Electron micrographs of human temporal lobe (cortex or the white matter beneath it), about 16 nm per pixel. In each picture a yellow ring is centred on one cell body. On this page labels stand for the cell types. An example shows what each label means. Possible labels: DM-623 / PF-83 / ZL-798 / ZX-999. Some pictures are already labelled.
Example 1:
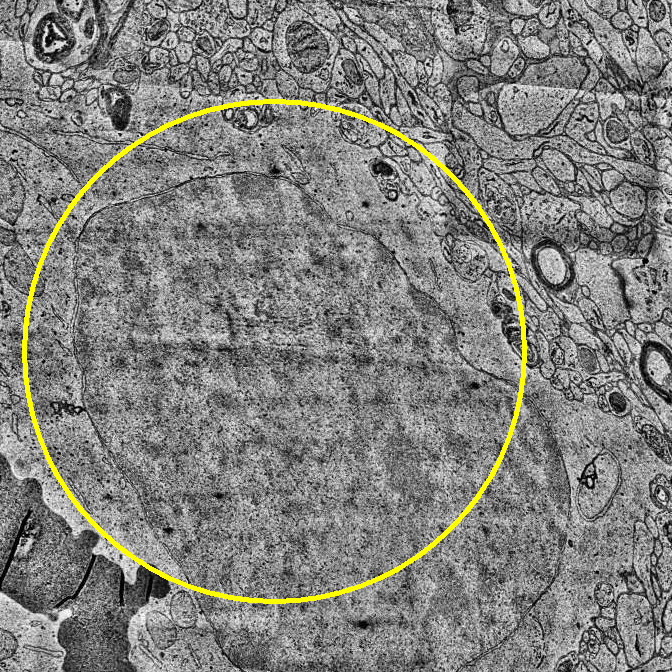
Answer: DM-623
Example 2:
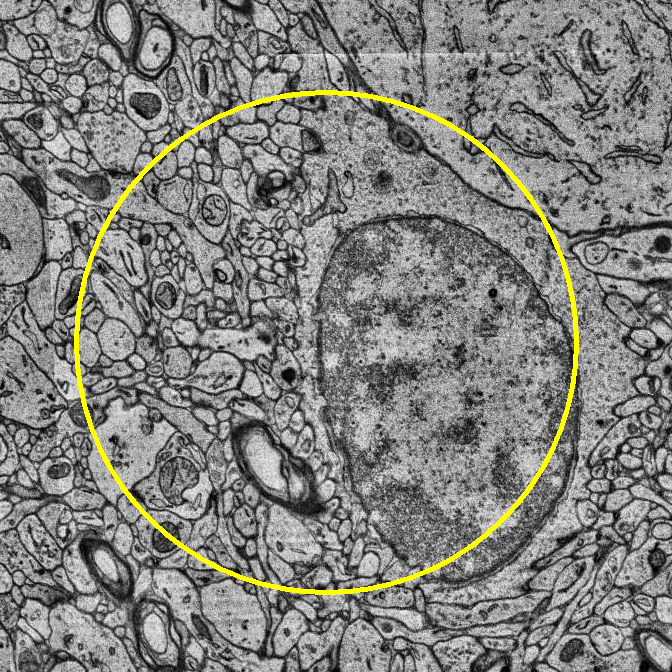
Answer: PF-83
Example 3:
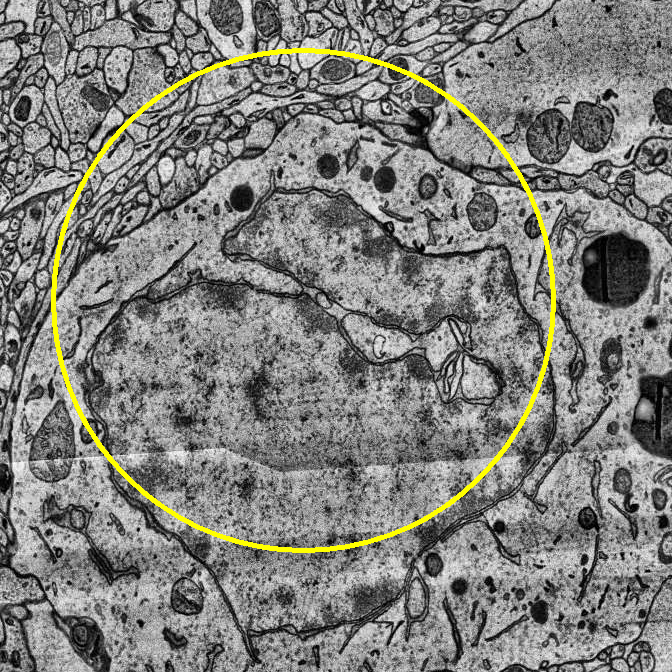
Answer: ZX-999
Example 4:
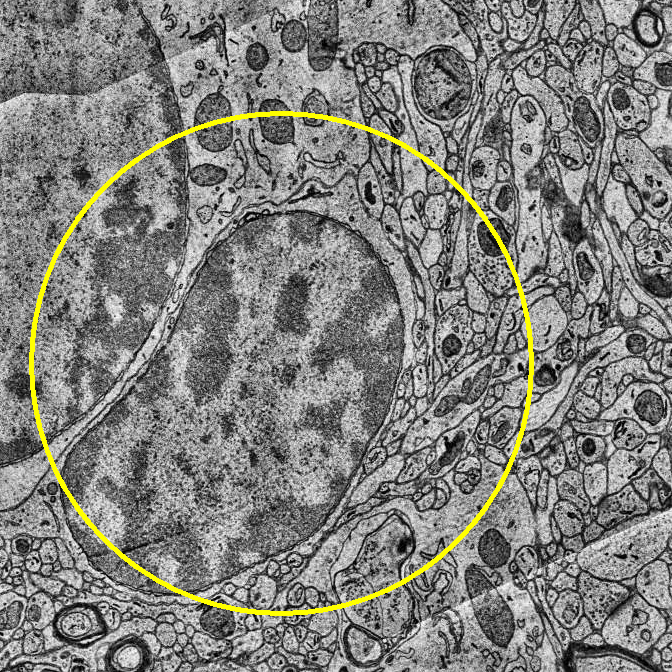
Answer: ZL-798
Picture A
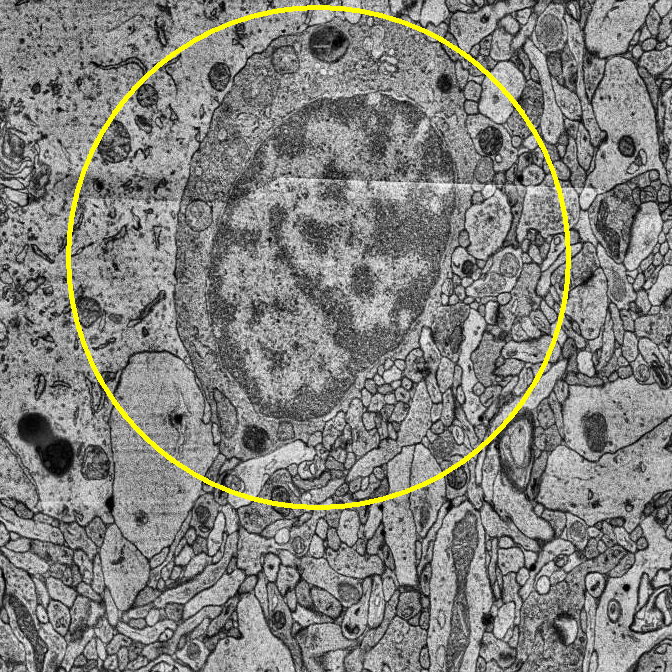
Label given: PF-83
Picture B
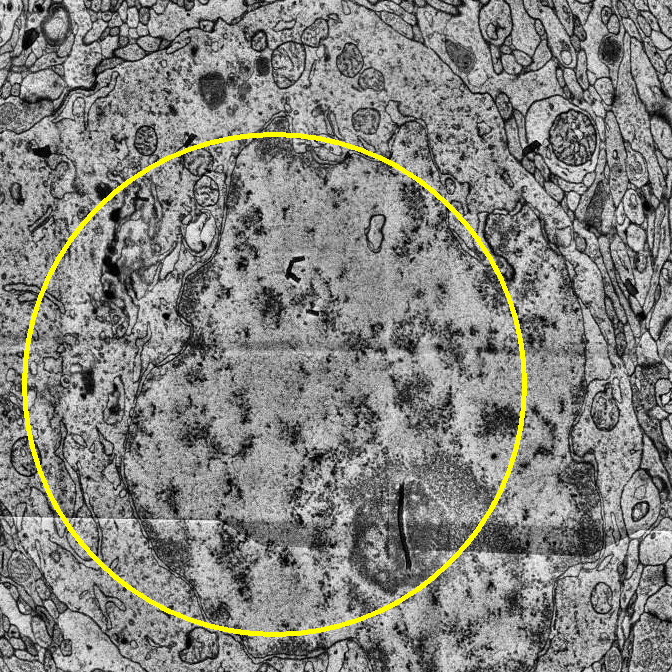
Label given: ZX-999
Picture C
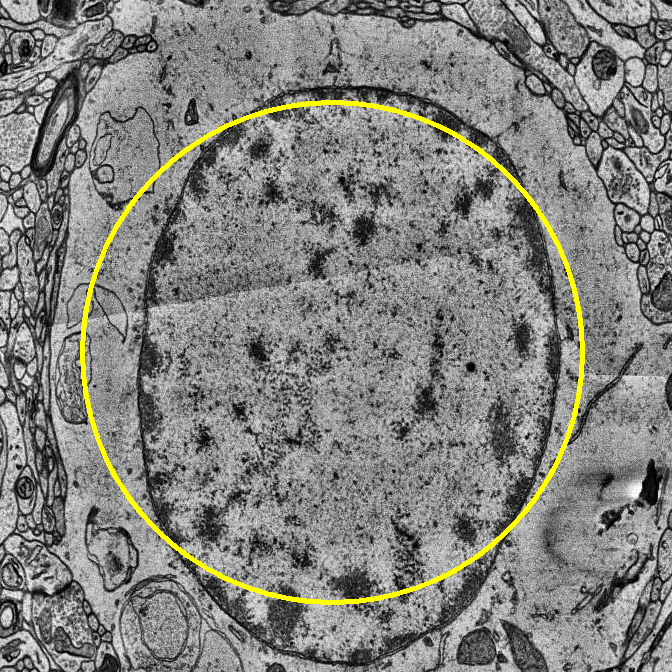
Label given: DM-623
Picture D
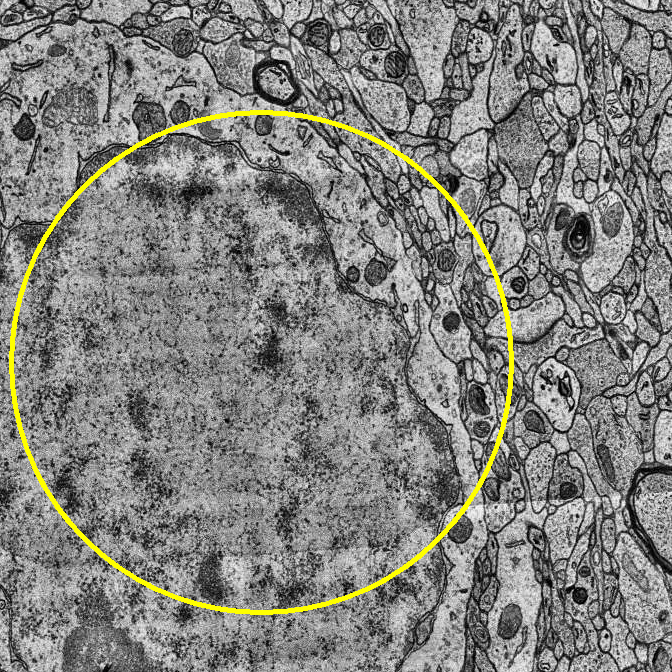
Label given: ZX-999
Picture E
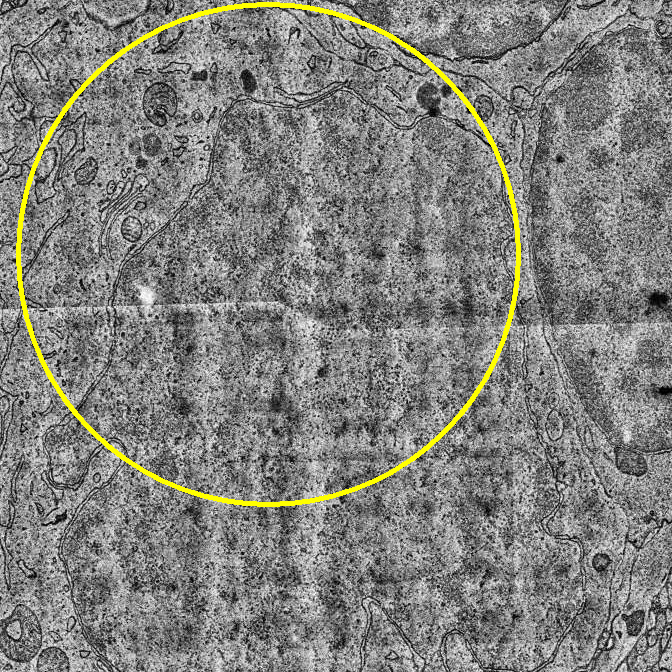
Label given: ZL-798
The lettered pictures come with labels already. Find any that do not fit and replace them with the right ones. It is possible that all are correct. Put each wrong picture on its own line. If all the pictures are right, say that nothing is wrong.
E is labelled ZL-798; correct label: ZX-999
